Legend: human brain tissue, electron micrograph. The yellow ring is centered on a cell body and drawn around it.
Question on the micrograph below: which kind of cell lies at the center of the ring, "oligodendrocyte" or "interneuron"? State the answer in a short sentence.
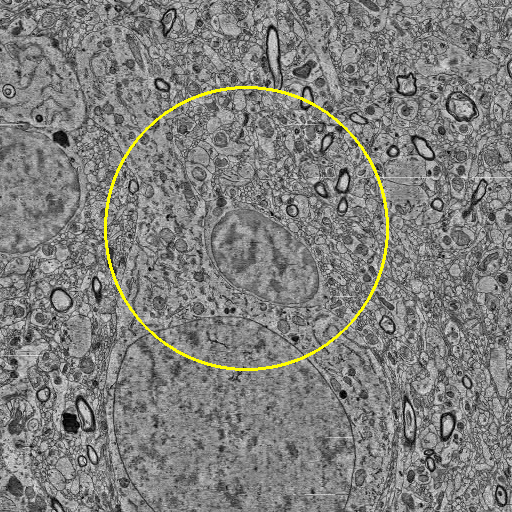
At the center of the ring lies an oligodendrocyte.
